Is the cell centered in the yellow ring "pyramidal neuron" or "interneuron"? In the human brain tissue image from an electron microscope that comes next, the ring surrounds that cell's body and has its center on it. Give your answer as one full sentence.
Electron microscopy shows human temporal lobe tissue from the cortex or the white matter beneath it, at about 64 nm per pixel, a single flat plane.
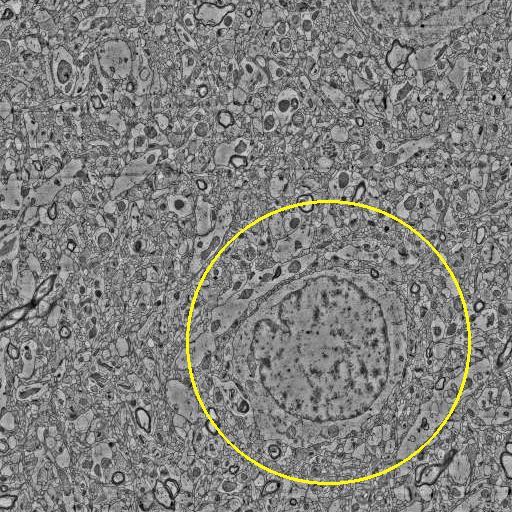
The cell at the center of the yellow ring is an interneuron in the micrograph.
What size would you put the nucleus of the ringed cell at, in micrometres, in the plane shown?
The nucleus is about 9 micrometres across in this plane.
